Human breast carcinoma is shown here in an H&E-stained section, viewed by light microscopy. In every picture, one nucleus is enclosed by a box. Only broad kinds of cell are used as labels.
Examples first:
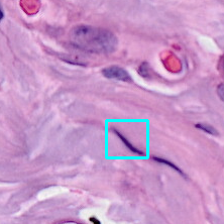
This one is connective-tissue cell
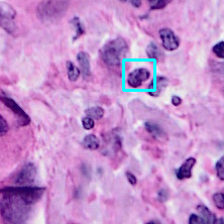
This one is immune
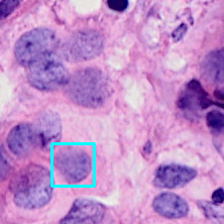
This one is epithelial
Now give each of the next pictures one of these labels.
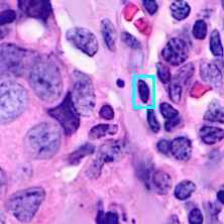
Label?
immune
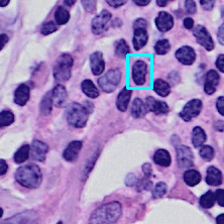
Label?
immune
